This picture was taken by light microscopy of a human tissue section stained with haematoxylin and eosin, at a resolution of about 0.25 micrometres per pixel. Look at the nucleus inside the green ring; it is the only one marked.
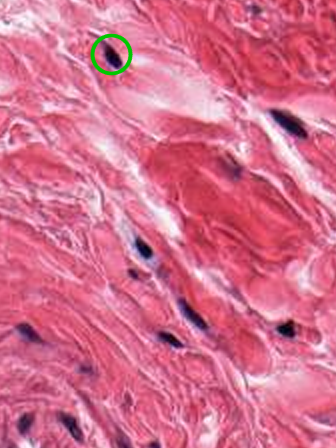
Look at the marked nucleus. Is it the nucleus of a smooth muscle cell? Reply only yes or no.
no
